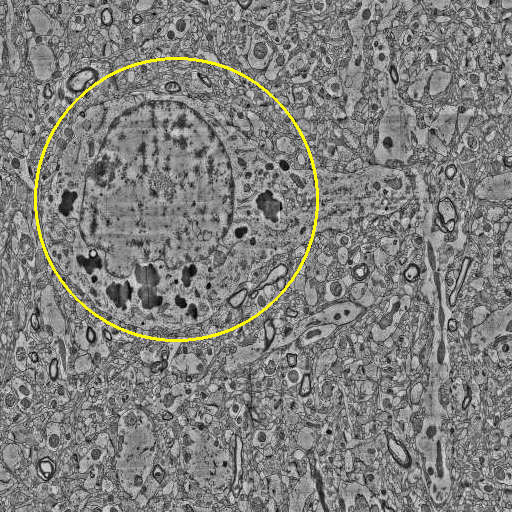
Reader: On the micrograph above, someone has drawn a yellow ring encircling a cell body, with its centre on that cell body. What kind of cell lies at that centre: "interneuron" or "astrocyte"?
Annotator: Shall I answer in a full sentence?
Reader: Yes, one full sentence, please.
Here an interneuron sits at the centre of the yellow ring drawn on the micrograph.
